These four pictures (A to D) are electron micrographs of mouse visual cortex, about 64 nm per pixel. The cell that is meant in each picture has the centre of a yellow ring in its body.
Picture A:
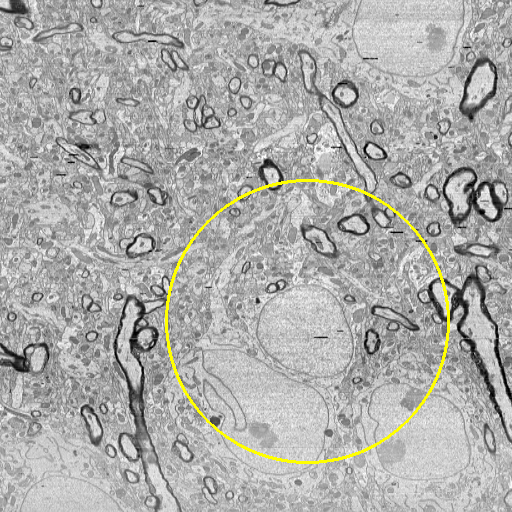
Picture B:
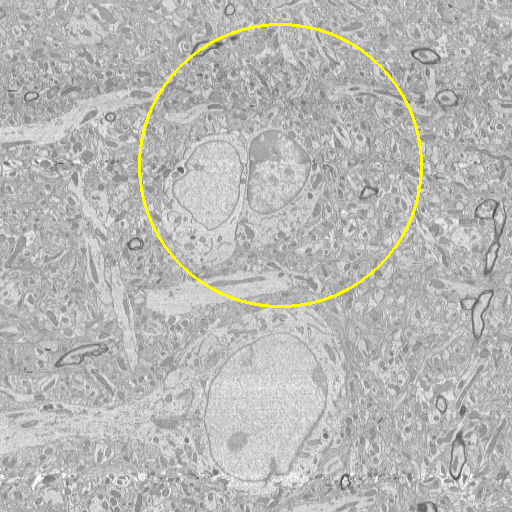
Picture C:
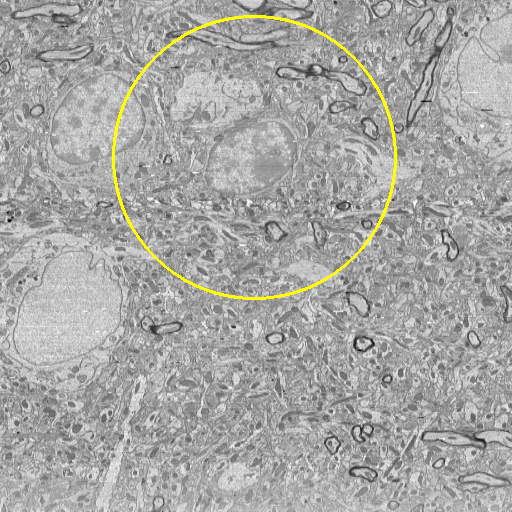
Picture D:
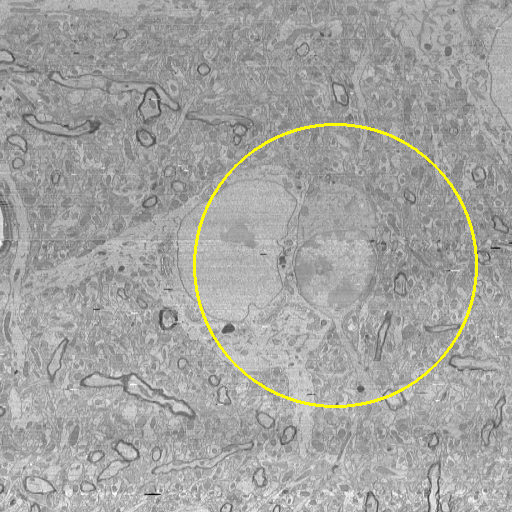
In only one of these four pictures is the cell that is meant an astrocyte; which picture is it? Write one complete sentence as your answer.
The picture with the astrocyte is A.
